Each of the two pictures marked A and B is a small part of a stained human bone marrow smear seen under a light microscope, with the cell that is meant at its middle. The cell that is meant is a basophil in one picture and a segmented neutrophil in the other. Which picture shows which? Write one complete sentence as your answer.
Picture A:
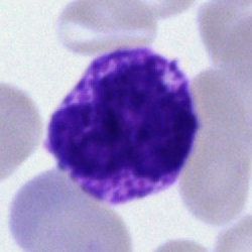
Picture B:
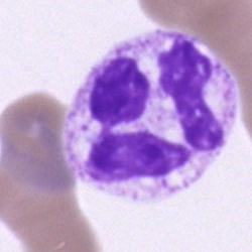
Picture A is of a basophil, and picture B is of a segmented neutrophil.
